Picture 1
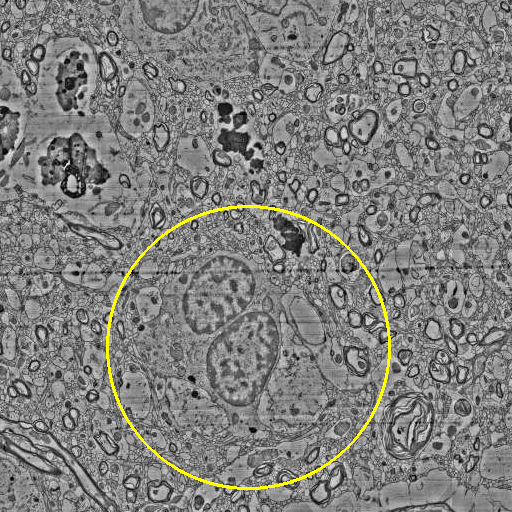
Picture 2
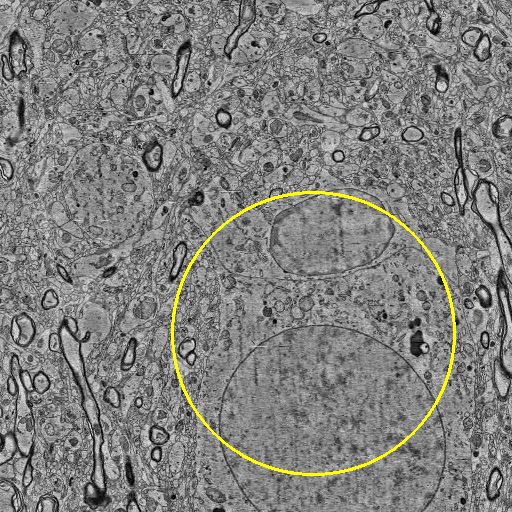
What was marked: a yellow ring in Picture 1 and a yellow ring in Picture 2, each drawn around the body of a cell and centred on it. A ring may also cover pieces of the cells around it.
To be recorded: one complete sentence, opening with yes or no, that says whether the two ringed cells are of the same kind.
No, the two ringed cells are of two kinds.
